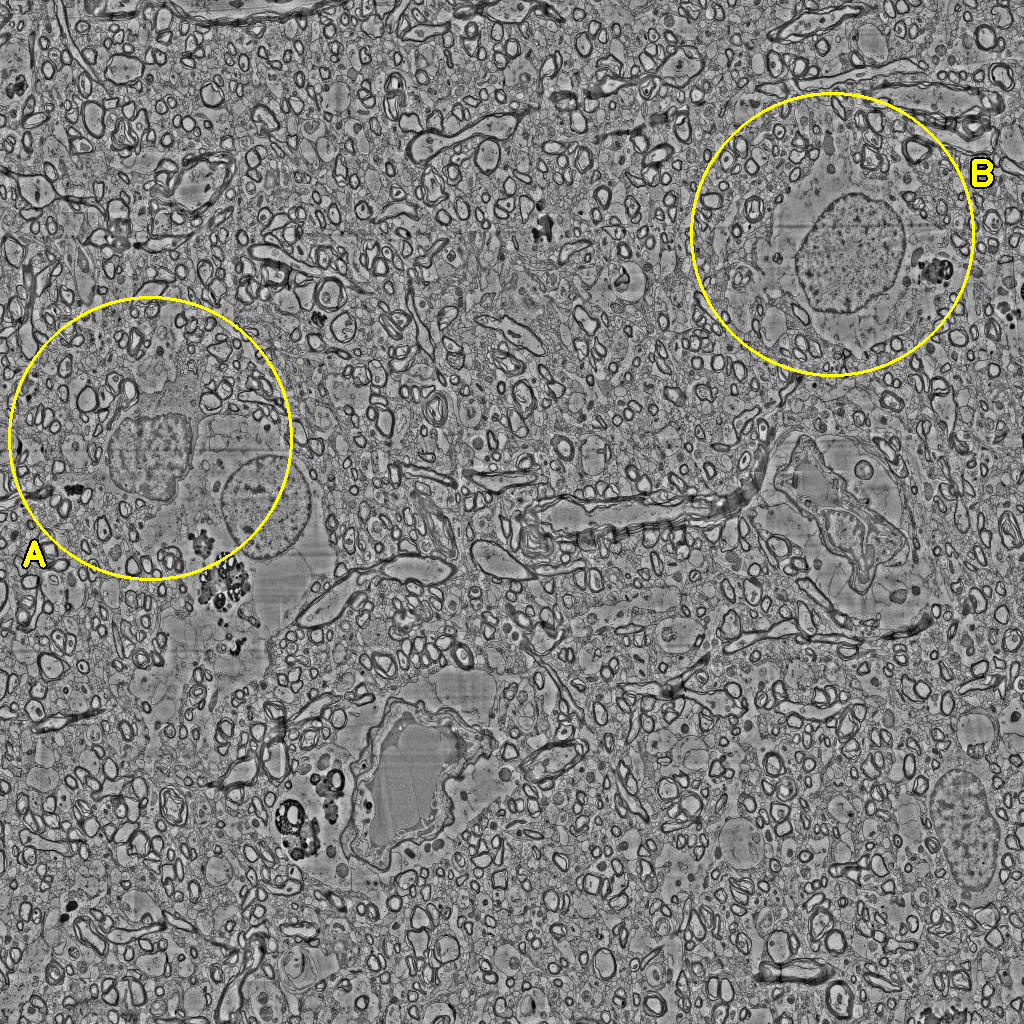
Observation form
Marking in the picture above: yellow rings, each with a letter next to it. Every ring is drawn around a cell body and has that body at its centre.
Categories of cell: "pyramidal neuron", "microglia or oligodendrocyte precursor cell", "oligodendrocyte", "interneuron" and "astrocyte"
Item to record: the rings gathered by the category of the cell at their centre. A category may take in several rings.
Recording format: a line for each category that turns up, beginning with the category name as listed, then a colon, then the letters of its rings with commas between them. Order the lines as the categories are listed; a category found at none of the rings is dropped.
oligodendrocyte: A
astrocyte: B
